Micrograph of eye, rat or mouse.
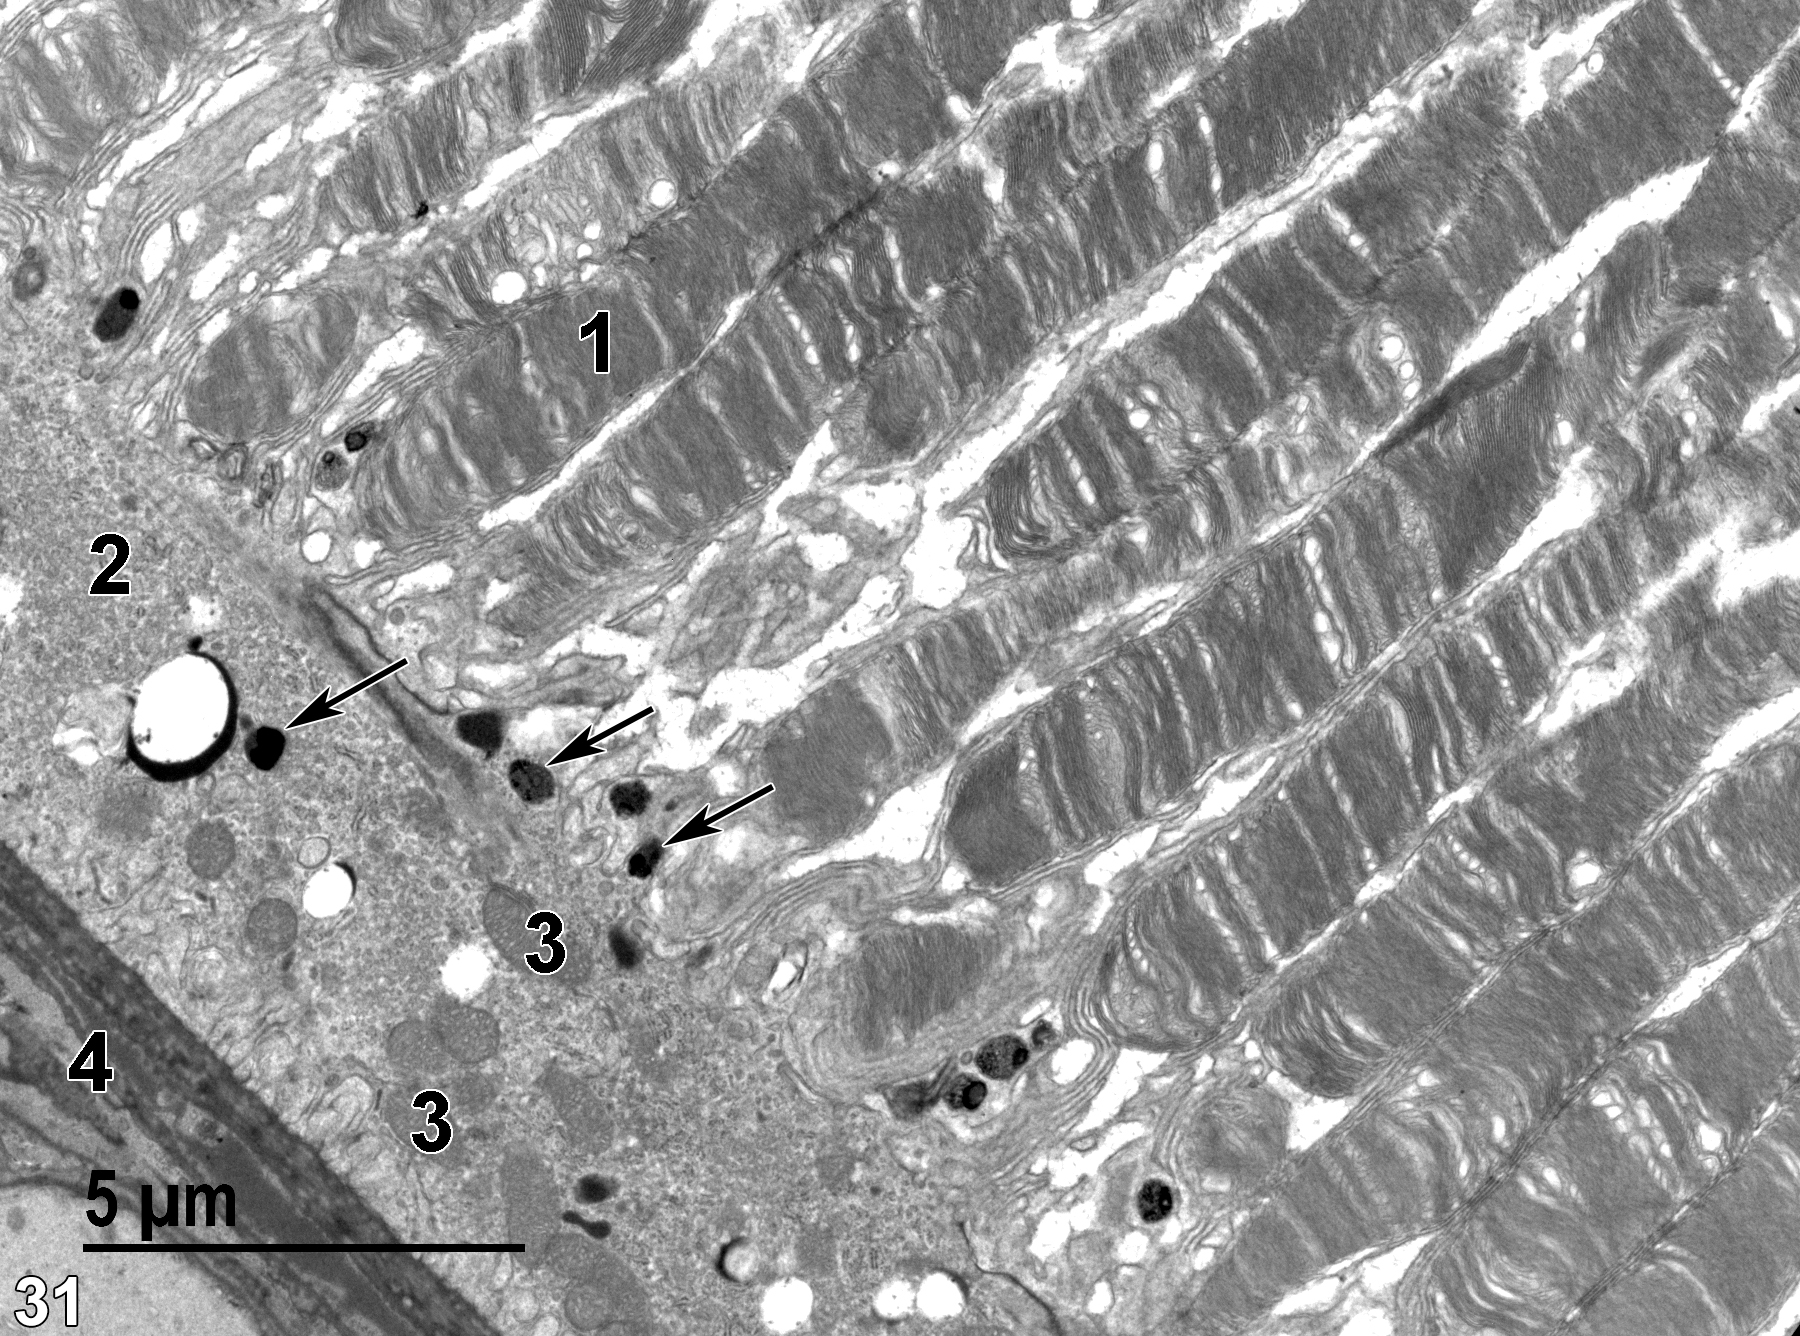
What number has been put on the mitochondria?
The mitochondria: 3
